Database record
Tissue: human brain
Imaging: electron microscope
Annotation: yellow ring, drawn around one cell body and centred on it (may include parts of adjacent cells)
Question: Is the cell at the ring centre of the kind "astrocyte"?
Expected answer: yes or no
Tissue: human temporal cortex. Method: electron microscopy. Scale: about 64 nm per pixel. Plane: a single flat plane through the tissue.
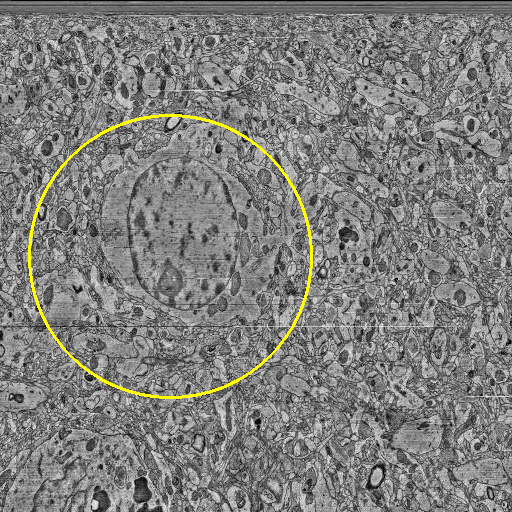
yes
